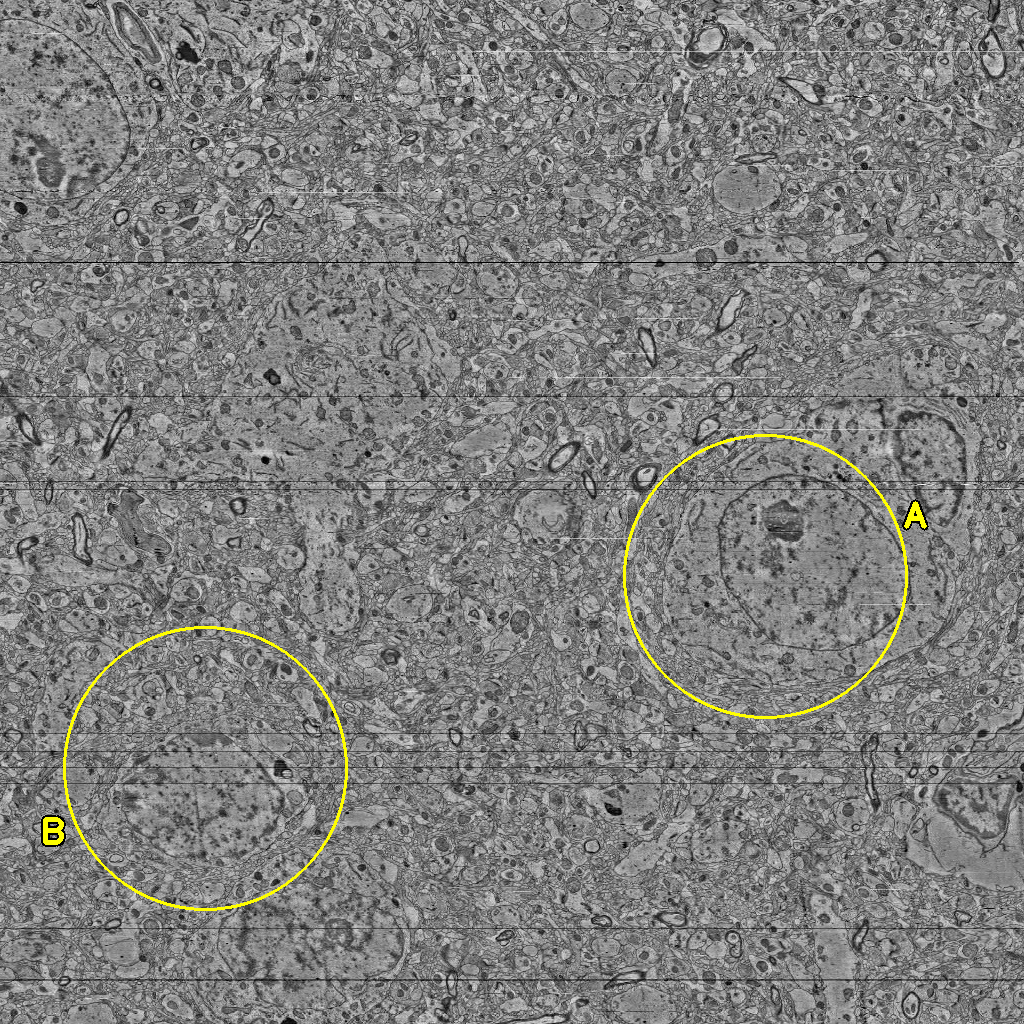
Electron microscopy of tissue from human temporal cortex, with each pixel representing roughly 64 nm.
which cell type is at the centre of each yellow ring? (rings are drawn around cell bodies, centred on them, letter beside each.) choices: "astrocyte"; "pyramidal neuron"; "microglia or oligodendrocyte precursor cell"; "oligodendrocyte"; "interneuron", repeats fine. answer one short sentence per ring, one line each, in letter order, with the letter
Ring A is a pyramidal neuron.
Ring B is an interneuron.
